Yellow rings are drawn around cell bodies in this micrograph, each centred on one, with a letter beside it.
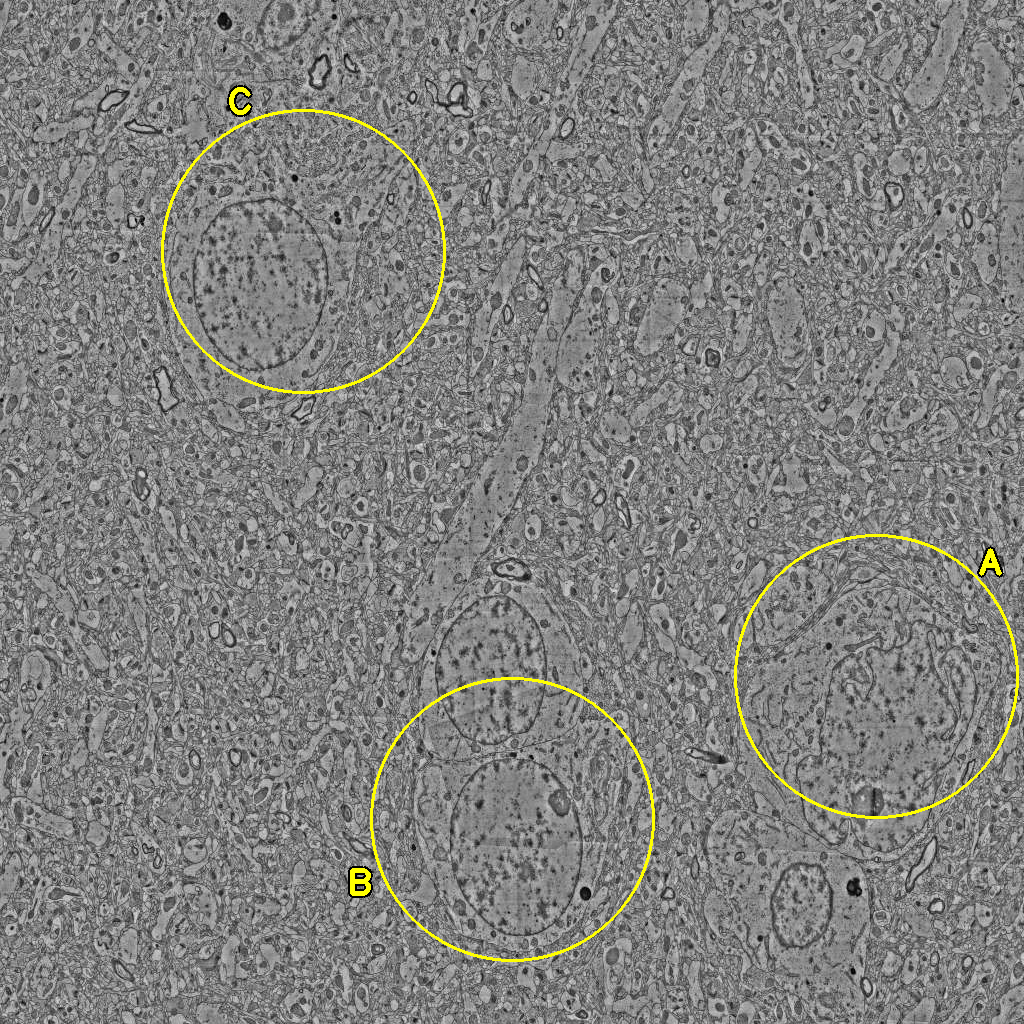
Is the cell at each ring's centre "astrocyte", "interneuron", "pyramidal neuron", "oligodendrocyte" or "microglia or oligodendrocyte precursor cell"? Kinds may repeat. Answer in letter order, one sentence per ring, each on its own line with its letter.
In ring A, the cell at the centre is an interneuron.
In ring B, the cell at the centre is a pyramidal neuron.
In ring C, the cell at the centre is a pyramidal neuron.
